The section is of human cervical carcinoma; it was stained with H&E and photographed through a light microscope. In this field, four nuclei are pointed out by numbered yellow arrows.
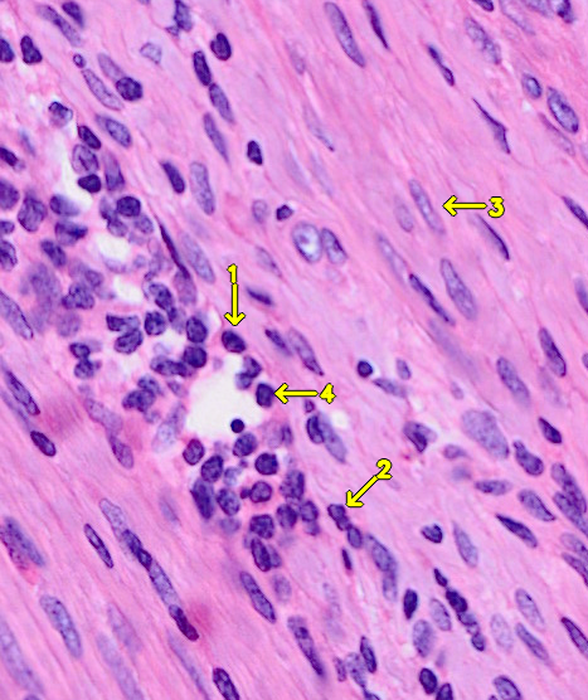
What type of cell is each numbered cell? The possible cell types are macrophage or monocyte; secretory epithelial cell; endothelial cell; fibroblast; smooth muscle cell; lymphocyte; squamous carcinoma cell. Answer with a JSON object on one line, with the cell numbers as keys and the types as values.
{"1": "lymphocyte", "2": "lymphocyte", "3": "smooth muscle cell", "4": "lymphocyte"}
